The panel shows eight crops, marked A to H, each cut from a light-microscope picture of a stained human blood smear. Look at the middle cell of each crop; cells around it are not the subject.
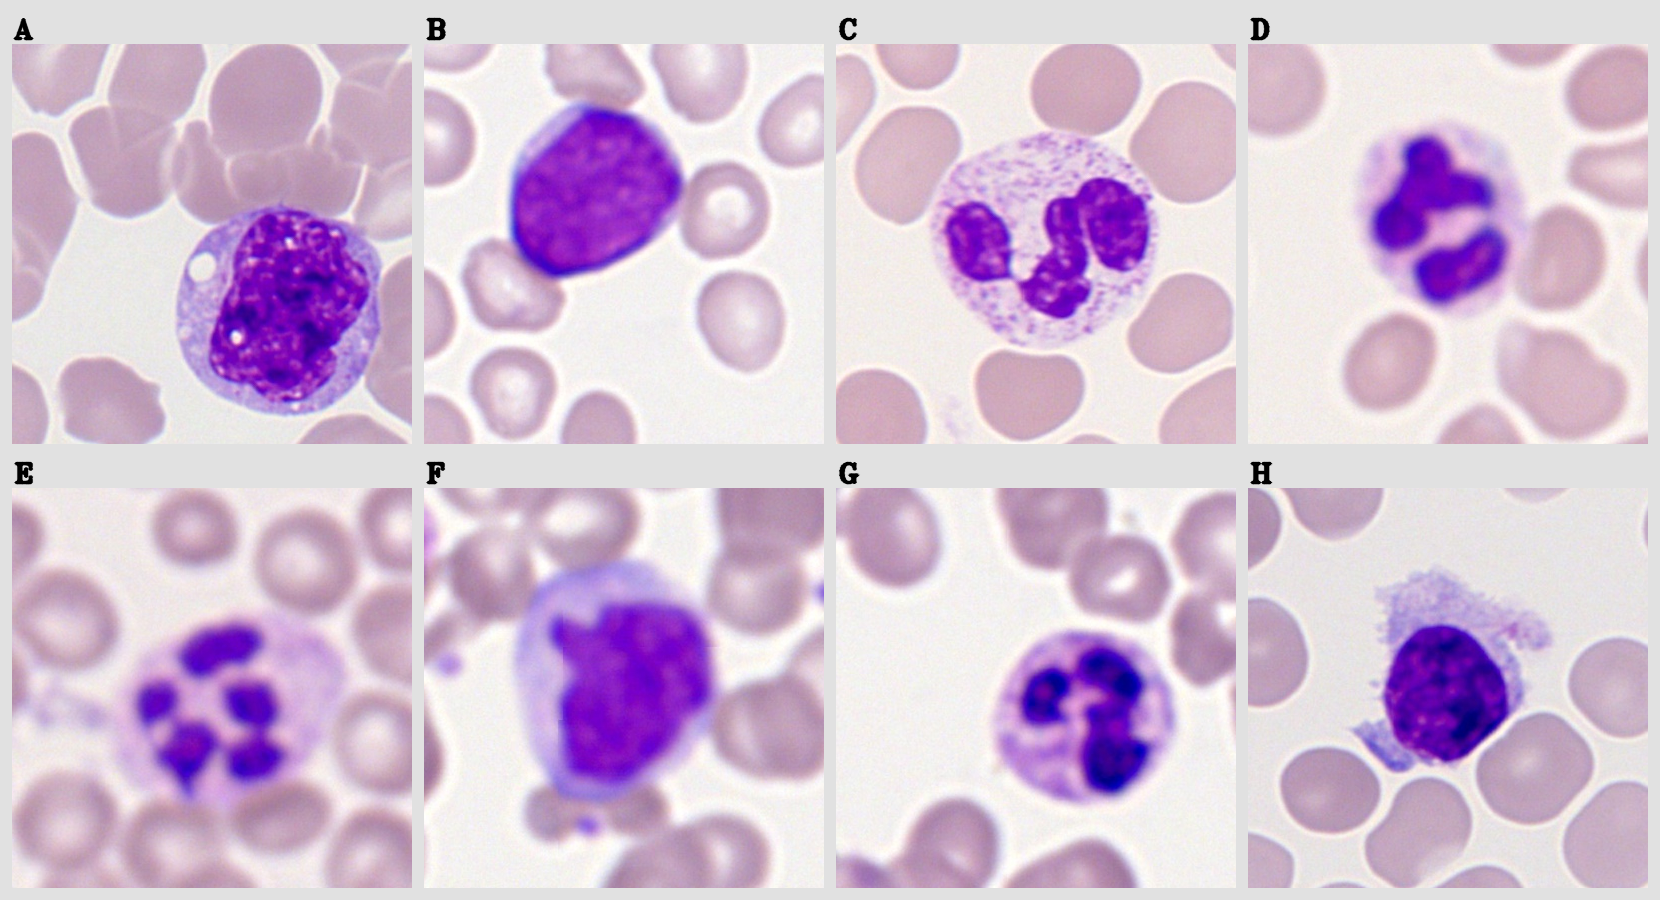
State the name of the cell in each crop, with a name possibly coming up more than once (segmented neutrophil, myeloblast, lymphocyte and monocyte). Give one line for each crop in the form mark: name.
A: monocyte
B: myeloblast
C: segmented neutrophil
D: segmented neutrophil
E: segmented neutrophil
F: monocyte
G: segmented neutrophil
H: lymphocyte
